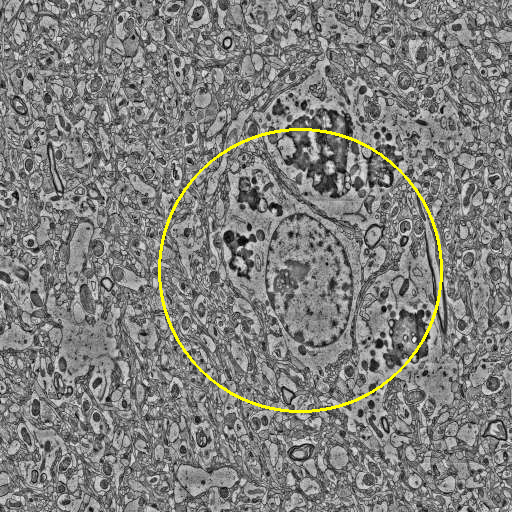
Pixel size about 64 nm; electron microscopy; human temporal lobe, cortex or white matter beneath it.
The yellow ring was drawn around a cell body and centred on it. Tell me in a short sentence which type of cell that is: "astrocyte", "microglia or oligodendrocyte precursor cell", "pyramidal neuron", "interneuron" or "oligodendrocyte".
The cell at the ring's centre is an astrocyte.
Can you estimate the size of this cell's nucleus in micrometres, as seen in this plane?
In this plane, approximately 8 by 6 micrometers, and clearly longer than it is wide.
